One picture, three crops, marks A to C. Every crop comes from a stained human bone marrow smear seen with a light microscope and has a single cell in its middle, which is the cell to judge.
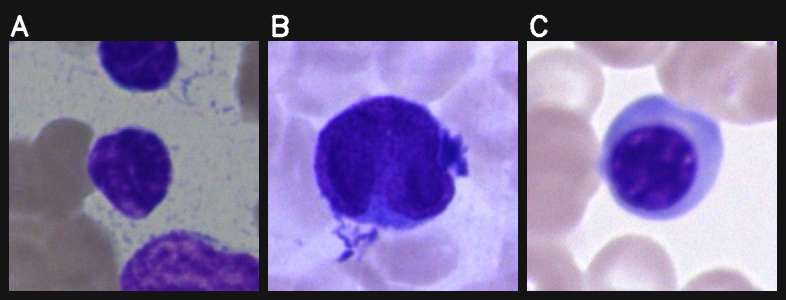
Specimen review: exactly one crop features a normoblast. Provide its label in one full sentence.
The crop marked C is the one in which a normoblast is shown.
